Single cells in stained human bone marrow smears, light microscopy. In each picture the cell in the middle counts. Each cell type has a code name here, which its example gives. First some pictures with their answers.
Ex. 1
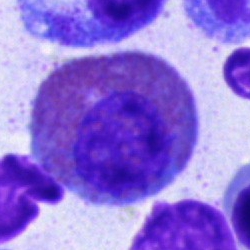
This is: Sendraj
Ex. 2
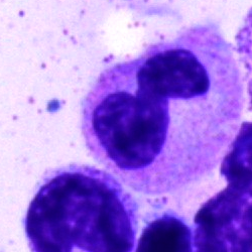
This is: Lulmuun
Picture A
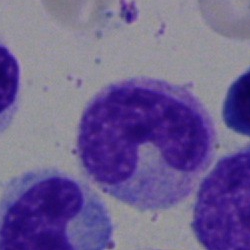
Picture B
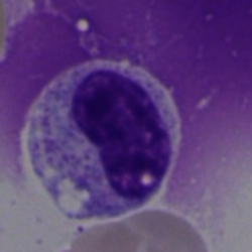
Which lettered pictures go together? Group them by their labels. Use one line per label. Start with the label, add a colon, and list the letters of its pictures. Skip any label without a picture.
Sendraj: B
Lulmuun: A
